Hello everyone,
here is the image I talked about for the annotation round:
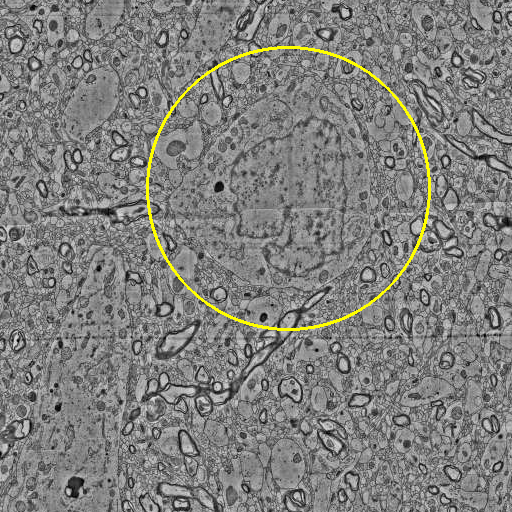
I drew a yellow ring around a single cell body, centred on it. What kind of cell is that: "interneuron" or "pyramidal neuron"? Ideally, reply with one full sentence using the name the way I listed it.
The cell your yellow ring is centred on is an interneuron, going by your list.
